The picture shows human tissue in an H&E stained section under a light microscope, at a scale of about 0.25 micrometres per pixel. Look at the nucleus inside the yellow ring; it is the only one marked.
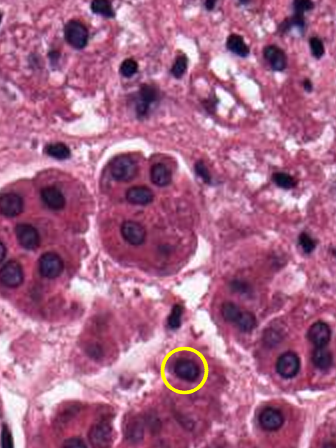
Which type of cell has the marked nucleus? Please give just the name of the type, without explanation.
adrenal cortical cell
